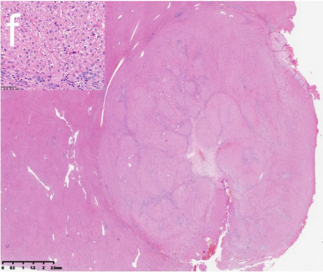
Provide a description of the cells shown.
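Low-power section of liver with a sharply bordered, rounded nodule beside normal pink liver tissue. A pale central scar lies at the middle of the nodule, with thin bands radiating outward that split the nodule into lobules. The inset shows sheets of polygonal hepatocytes with pink cytoplasm and round nuclei.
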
